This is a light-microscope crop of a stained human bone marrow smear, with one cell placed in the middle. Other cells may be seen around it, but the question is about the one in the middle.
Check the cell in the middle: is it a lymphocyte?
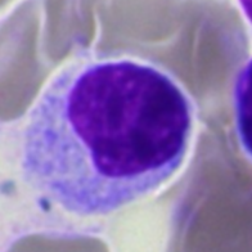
yes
